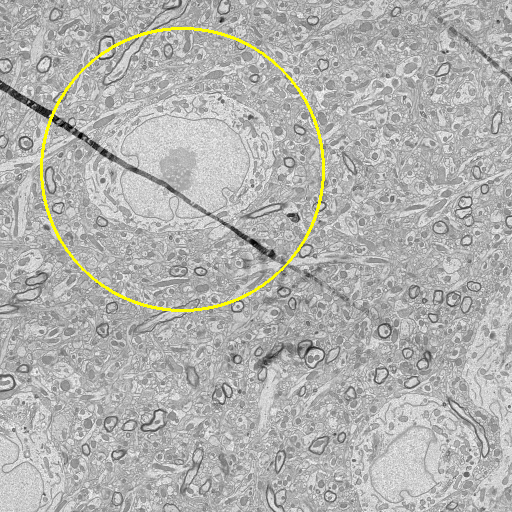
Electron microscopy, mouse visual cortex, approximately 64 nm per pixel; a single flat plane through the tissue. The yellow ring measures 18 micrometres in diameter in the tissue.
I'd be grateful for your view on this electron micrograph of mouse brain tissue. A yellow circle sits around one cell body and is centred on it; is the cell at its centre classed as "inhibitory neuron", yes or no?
yes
